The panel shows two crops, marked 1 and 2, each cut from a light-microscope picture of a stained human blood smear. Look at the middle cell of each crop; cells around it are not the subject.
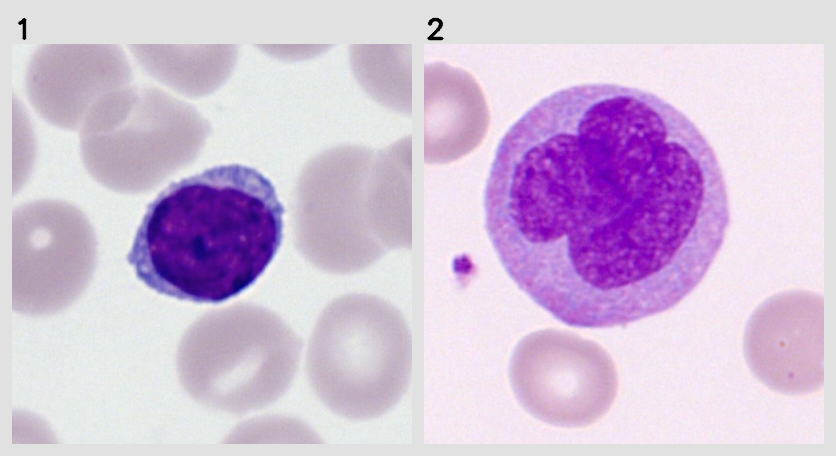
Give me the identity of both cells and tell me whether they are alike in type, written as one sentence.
No, that is not right; crop 1 shows a lymphocyte and crop 2 shows a myeloblast.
